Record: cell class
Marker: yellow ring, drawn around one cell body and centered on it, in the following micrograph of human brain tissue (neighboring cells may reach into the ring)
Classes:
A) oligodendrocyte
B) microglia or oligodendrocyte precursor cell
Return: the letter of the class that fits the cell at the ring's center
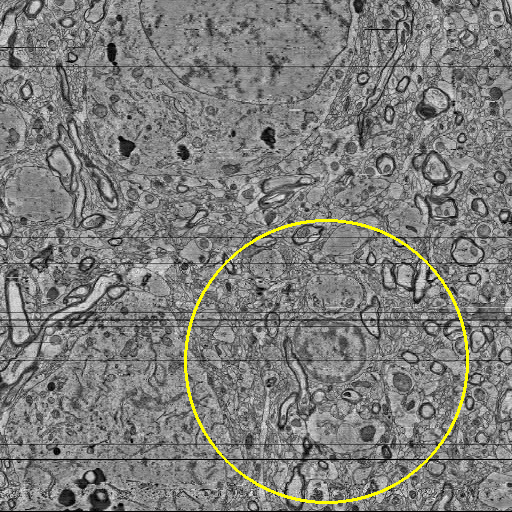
A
